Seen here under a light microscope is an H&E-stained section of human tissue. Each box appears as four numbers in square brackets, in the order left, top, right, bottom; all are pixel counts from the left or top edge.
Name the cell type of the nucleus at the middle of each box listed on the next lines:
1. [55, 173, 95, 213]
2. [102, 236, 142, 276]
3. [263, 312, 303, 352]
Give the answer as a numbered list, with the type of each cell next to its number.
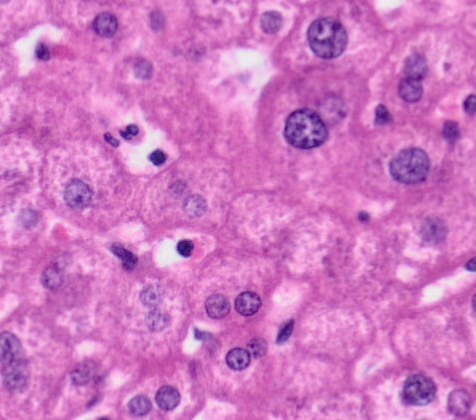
1. hepatocyte
2. Kupffer cell
3. endothelial cell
